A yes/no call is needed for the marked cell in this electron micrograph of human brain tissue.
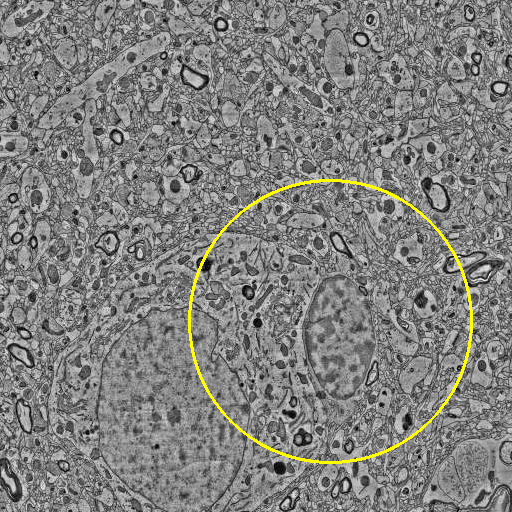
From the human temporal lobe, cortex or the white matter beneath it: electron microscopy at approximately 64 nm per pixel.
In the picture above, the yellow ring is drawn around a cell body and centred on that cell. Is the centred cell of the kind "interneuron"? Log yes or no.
no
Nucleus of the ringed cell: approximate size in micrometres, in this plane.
About 8 by 4 micrometres; in this plane the nucleus is clearly longer than it is wide.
